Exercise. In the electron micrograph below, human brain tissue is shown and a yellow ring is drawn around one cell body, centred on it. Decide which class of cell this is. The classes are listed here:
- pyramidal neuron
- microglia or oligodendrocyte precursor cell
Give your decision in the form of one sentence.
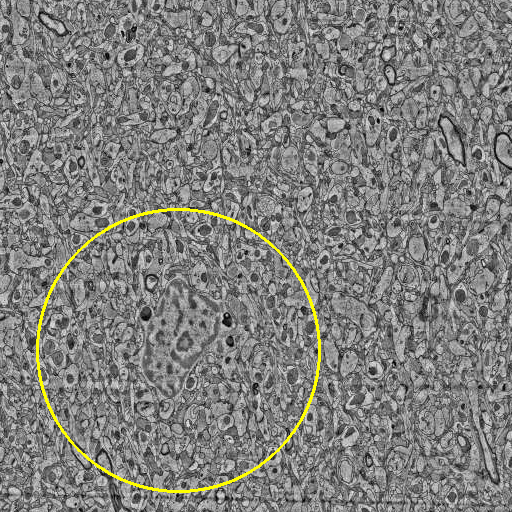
The cell body marked by the ring belongs to a microglial cell or oligodendrocyte precursor cell.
